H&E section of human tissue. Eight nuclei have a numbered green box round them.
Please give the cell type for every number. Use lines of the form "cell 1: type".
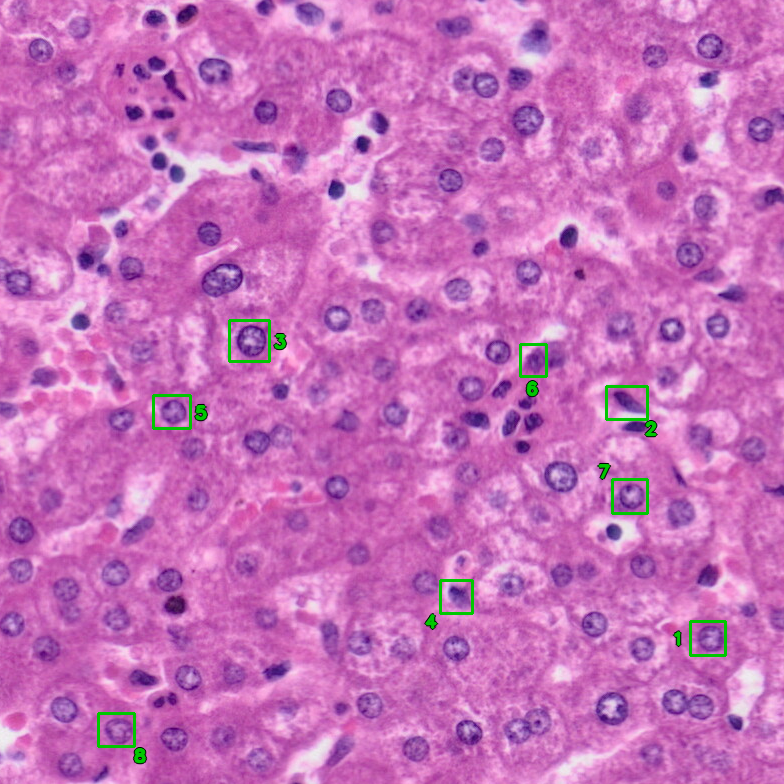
cell 1: hepatocyte
cell 2: Kupffer cell
cell 3: hepatocyte
cell 4: endothelial cell
cell 5: hepatocyte
cell 6: Kupffer cell
cell 7: hepatocyte
cell 8: hepatocyte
